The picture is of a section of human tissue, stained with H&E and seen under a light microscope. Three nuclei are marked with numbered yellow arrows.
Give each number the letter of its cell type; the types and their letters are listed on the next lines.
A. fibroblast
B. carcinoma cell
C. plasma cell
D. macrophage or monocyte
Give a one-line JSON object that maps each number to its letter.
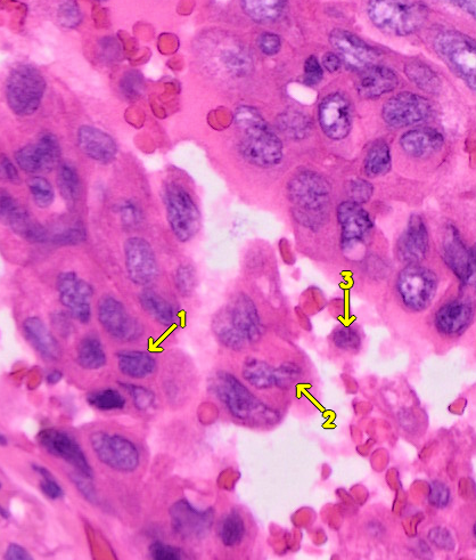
{"1": "B", "2": "B", "3": "D"}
